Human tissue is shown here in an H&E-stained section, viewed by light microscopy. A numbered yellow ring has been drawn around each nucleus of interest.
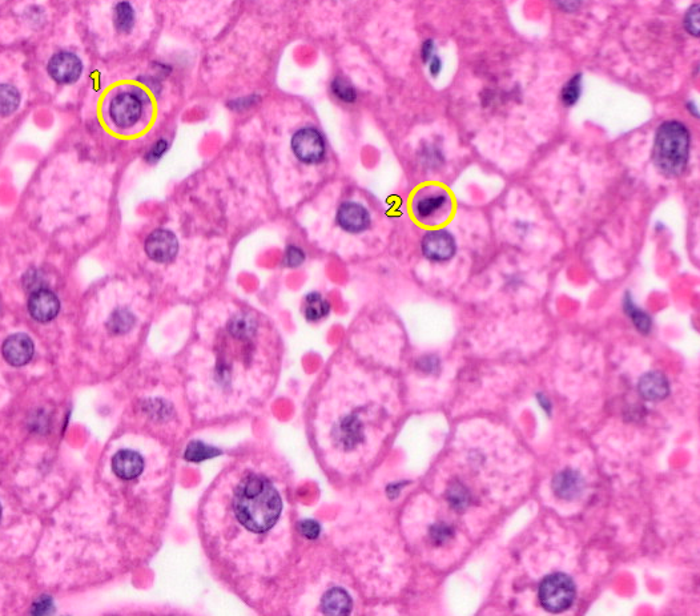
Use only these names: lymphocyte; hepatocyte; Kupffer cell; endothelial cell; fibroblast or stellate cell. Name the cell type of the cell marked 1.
hepatocyte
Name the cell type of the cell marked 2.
fibroblast or stellate cell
